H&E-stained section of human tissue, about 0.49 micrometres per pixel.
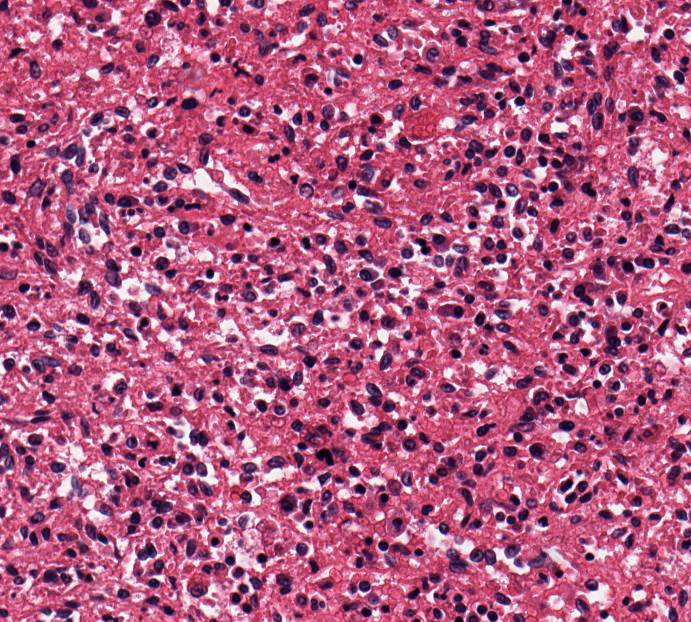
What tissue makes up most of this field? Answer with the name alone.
red pulp of the spleen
